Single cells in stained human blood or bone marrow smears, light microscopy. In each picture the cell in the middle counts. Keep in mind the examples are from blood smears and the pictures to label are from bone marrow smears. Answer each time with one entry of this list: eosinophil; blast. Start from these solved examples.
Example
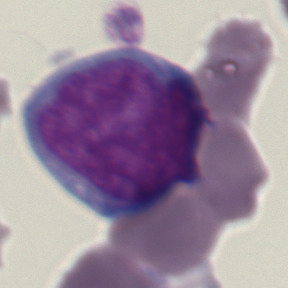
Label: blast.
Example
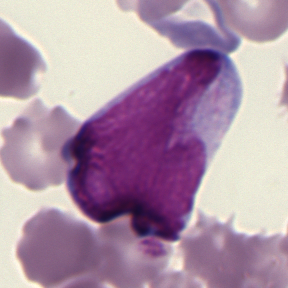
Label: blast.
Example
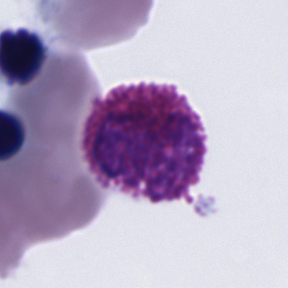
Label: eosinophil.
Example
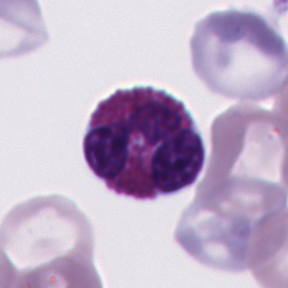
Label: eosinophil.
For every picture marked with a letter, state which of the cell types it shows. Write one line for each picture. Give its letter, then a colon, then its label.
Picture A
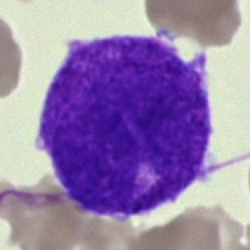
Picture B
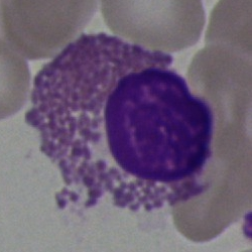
A: blast.
B: eosinophil.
